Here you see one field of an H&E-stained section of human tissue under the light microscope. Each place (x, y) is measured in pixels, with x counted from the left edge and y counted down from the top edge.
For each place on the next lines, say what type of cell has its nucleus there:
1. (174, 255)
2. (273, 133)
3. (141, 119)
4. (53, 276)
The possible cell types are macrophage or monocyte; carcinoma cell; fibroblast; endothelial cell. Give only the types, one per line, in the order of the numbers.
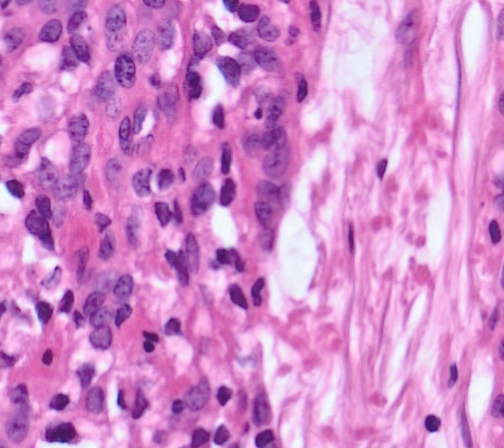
carcinoma cell
carcinoma cell
endothelial cell
macrophage or monocyte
